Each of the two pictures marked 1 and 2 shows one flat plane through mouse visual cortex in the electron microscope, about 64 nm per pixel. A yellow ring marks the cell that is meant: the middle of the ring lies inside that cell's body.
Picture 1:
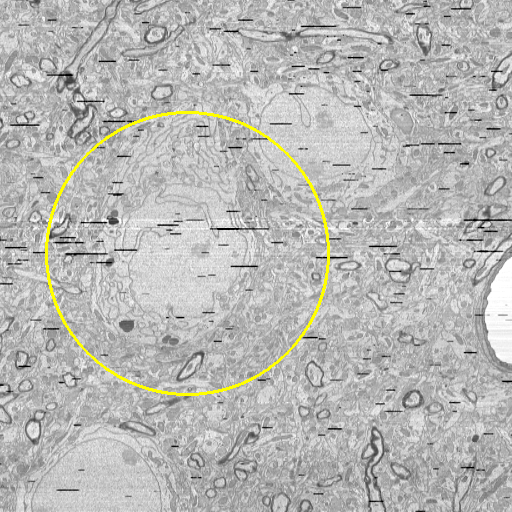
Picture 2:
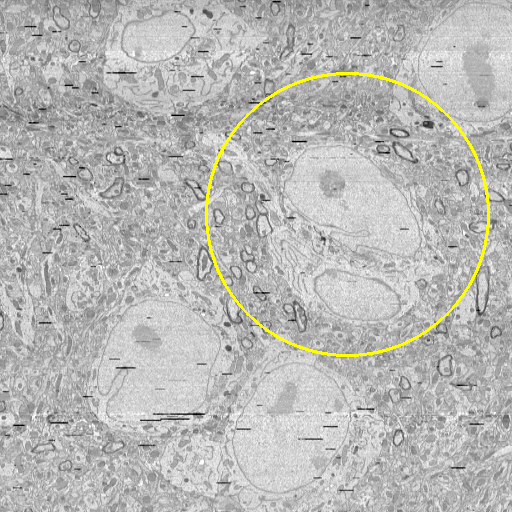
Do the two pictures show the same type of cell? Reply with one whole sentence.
Yes, both cells are inhibitory neurons.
